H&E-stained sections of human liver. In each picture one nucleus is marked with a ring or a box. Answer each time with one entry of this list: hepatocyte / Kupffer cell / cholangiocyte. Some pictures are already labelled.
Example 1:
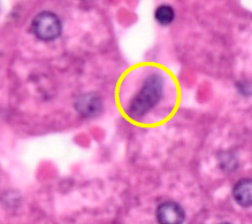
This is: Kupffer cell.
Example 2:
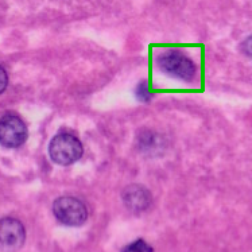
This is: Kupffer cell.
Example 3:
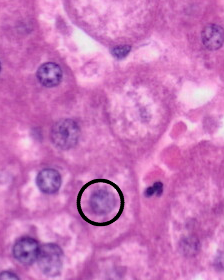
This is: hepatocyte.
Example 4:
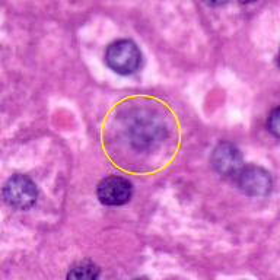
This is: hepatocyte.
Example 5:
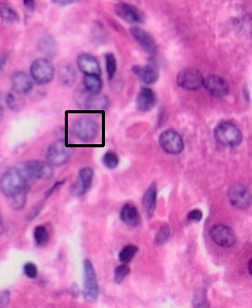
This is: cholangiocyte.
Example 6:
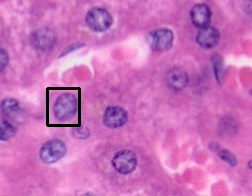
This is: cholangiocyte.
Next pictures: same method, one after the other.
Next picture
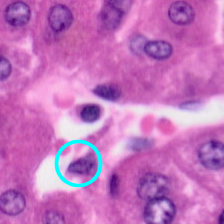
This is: Kupffer cell.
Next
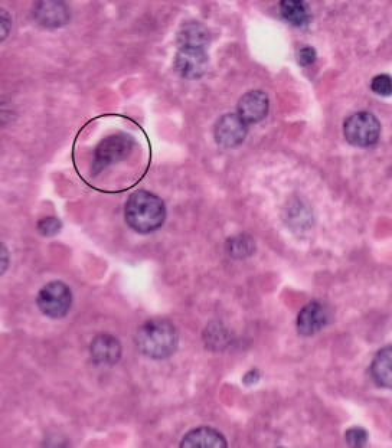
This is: Kupffer cell.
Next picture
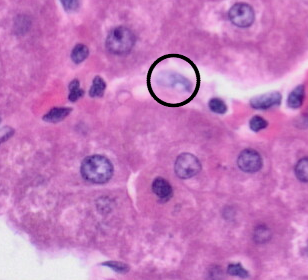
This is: Kupffer cell.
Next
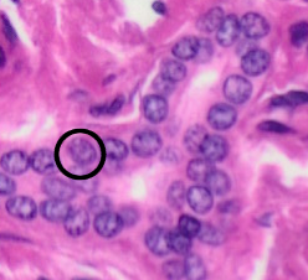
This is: cholangiocyte.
